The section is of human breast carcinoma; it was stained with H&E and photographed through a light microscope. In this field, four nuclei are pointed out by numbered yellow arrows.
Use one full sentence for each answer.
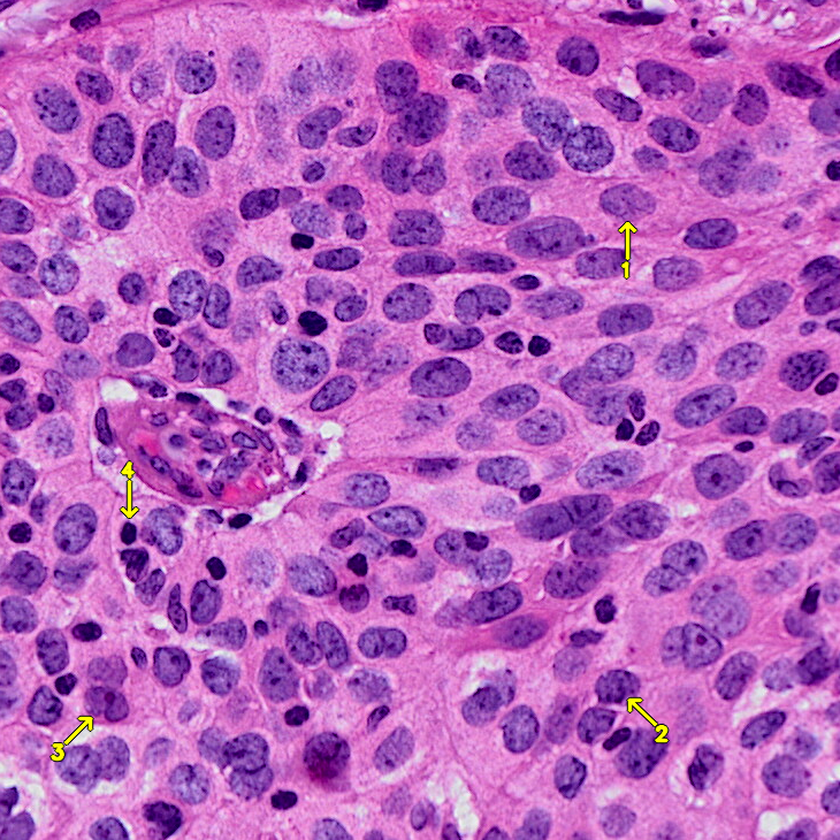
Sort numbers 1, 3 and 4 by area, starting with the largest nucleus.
By area, largest first, they run 1, 3, 4.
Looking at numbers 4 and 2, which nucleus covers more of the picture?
Number 2 is larger; its area is about 3 times that of number 4.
